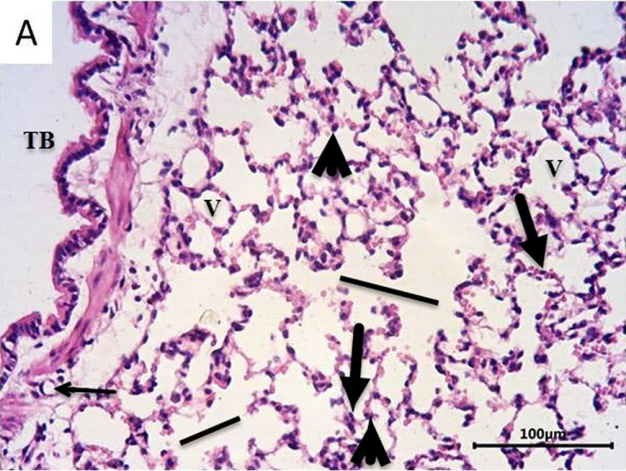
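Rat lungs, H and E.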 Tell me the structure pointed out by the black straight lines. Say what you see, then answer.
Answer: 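The lines lie across elongated air spaces that open into the surrounding alveoli.
Alveolar ducts.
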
